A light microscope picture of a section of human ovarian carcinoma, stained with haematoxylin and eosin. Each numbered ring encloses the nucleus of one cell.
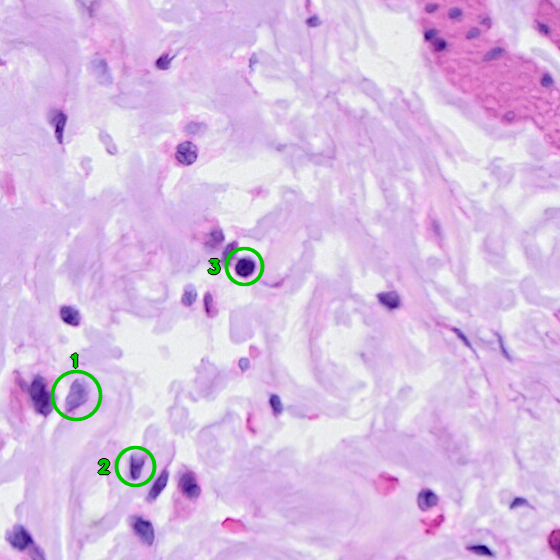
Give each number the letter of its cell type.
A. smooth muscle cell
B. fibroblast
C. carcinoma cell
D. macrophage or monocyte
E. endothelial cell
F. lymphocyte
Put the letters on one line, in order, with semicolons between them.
B; B; F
